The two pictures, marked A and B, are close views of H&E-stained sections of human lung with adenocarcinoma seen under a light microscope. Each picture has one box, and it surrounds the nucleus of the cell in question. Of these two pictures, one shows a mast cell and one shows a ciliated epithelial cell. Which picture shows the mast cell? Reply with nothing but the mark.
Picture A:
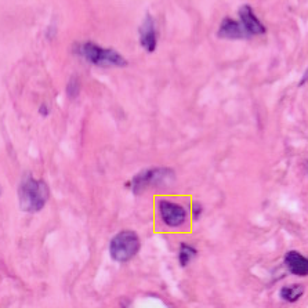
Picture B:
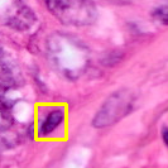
A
